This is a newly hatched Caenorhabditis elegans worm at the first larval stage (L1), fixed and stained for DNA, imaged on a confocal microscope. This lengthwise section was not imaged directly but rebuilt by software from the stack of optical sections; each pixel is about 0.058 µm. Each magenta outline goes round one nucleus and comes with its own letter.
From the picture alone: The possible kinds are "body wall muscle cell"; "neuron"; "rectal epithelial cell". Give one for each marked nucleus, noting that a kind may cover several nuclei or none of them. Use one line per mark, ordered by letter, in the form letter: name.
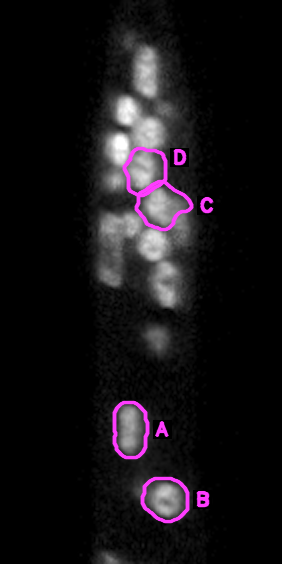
A: body wall muscle cell
B: body wall muscle cell
C: rectal epithelial cell
D: neuron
